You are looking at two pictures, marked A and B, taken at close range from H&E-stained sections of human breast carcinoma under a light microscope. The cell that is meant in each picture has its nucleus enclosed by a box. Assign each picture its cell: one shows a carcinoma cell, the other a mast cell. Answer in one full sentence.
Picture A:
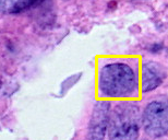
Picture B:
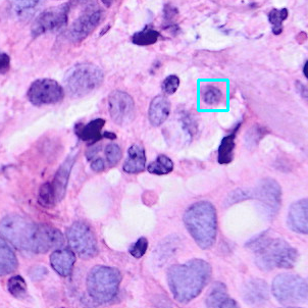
Picture A is of a carcinoma cell, and picture B is of a mast cell.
